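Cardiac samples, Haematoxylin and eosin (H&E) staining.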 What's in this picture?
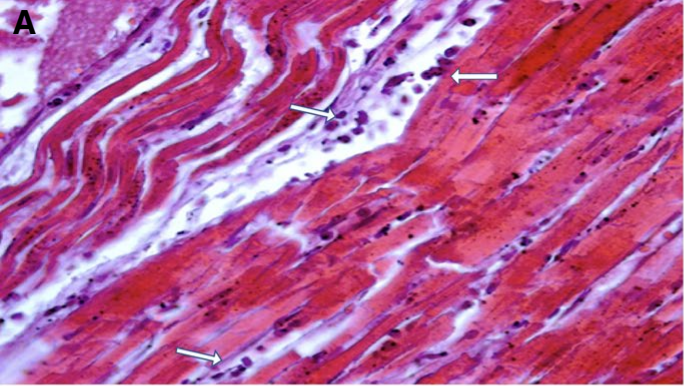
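This is heart muscle cut along its length, with long pink fibres running diagonally across the field, some of them wavy, and dark elongated nuclei scattered among them. In a pale cleft between bundles of fibres lie clusters of small round cells with dark, irregular nuclei, and similar small cells are scattered between the fibres lower in the field.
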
